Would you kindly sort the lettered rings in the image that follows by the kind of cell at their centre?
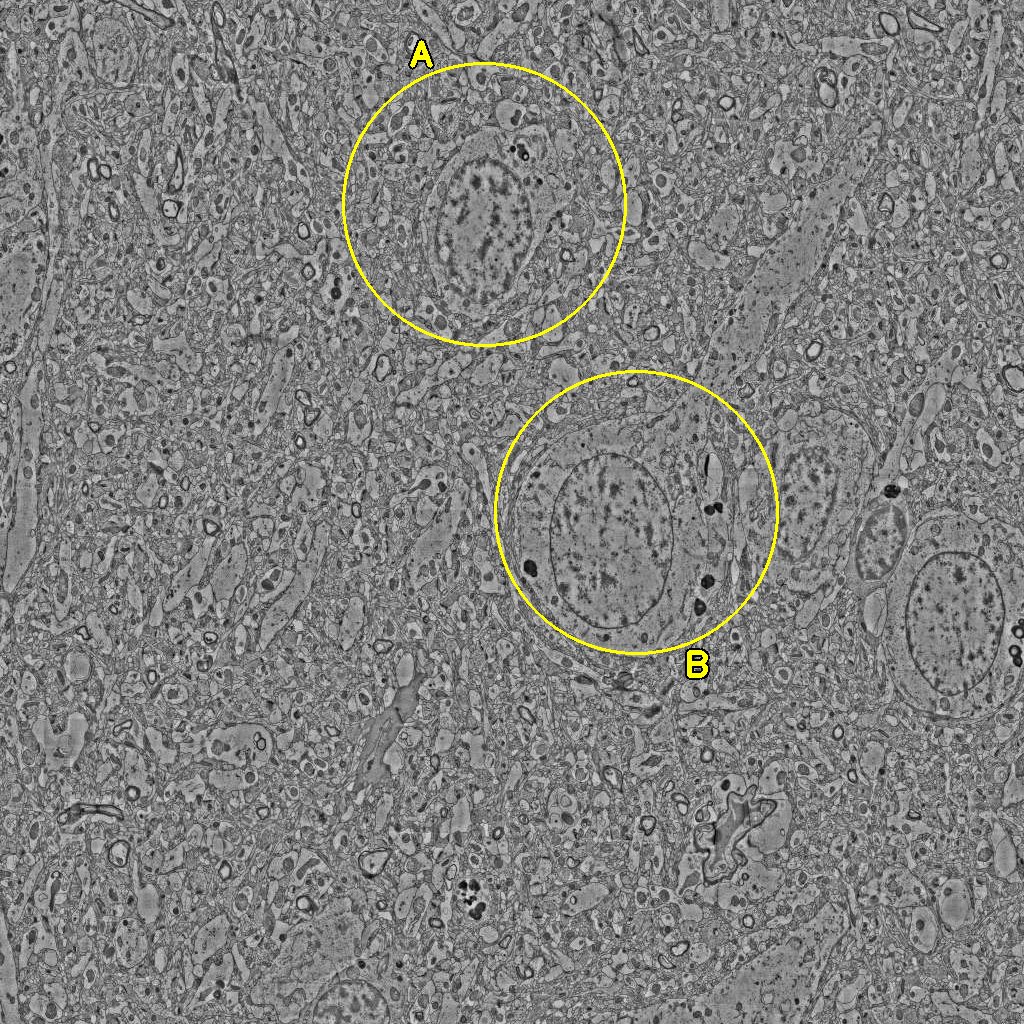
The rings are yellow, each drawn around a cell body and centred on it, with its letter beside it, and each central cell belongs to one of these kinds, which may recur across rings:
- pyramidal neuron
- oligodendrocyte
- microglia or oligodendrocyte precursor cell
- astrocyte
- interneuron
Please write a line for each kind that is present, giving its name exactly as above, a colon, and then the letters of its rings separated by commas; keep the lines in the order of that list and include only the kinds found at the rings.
pyramidal neuron: B
interneuron: A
